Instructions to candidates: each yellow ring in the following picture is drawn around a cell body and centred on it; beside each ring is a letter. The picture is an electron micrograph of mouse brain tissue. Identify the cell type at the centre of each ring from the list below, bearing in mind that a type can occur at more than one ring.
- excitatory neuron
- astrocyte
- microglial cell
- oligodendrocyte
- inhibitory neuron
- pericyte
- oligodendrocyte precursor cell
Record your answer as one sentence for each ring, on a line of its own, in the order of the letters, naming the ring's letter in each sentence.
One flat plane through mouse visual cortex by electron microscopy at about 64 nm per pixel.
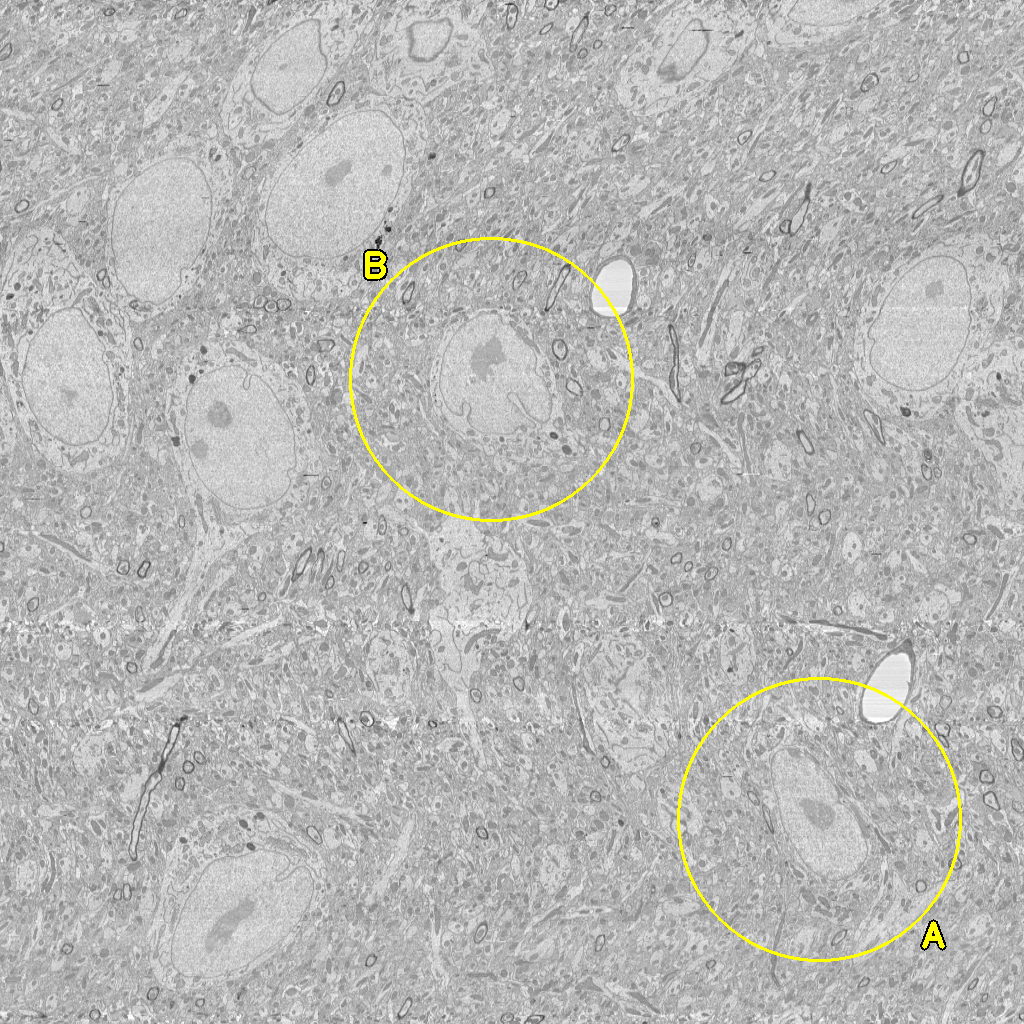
The cell centred in ring A is an astrocyte.
The cell centred in ring B is an inhibitory neuron.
